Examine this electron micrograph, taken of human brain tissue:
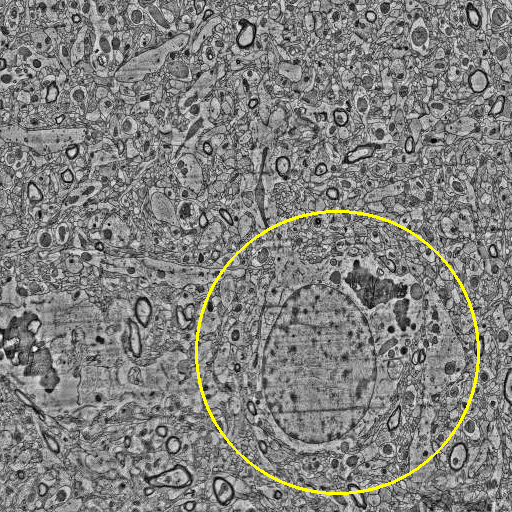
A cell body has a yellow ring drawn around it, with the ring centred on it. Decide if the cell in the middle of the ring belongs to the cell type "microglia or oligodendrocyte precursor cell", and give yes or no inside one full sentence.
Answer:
No, the cell at the centre of the yellow ring in this picture is of a different type.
